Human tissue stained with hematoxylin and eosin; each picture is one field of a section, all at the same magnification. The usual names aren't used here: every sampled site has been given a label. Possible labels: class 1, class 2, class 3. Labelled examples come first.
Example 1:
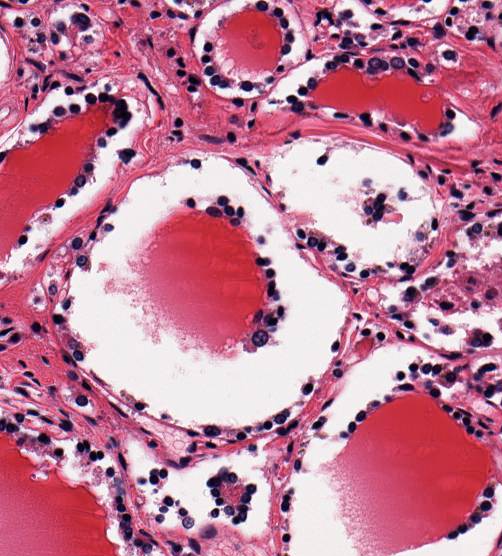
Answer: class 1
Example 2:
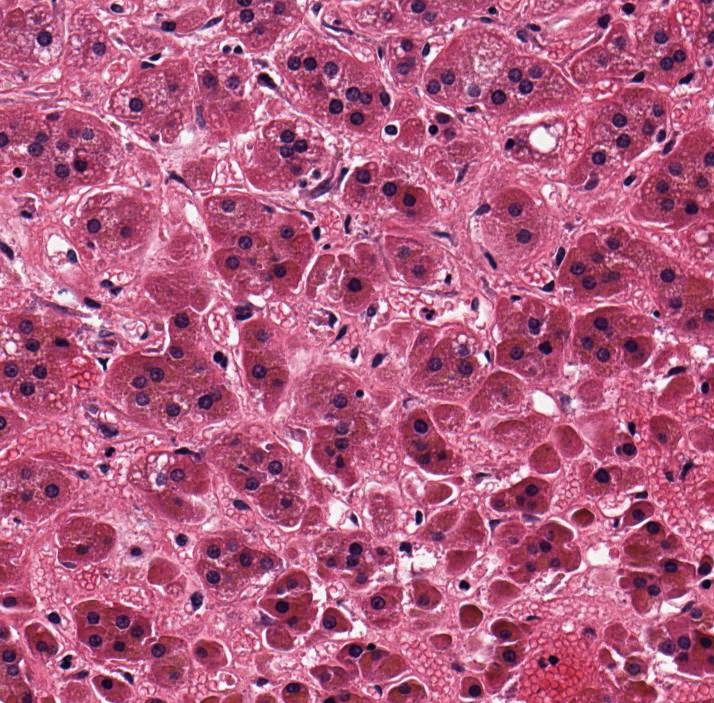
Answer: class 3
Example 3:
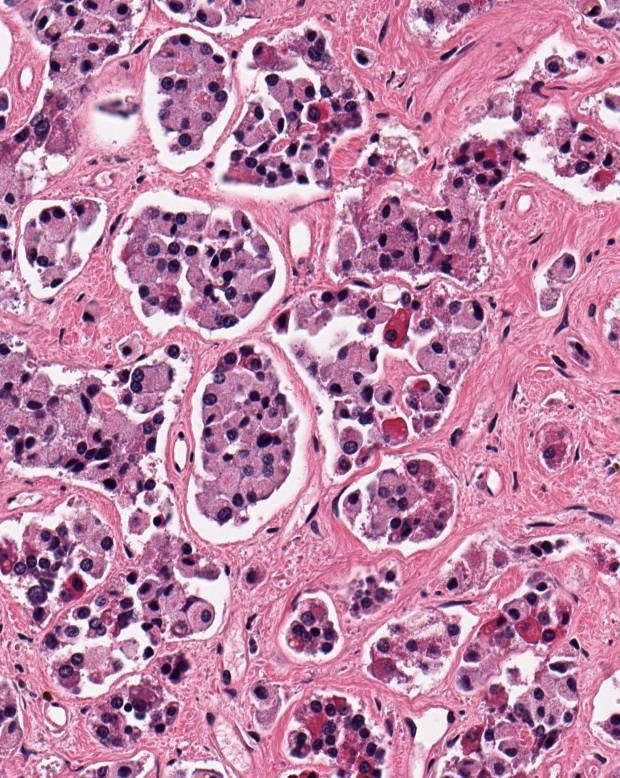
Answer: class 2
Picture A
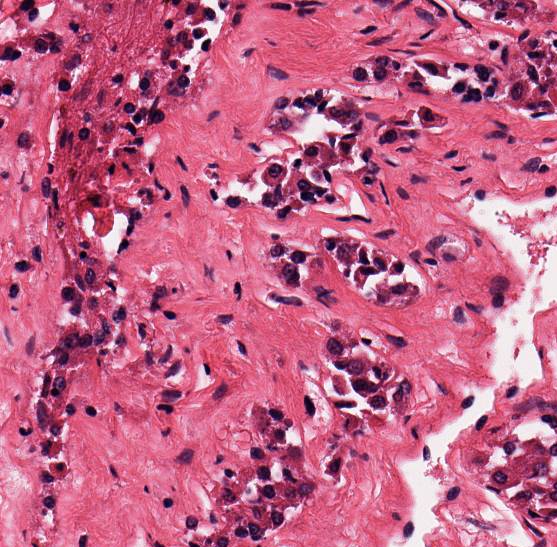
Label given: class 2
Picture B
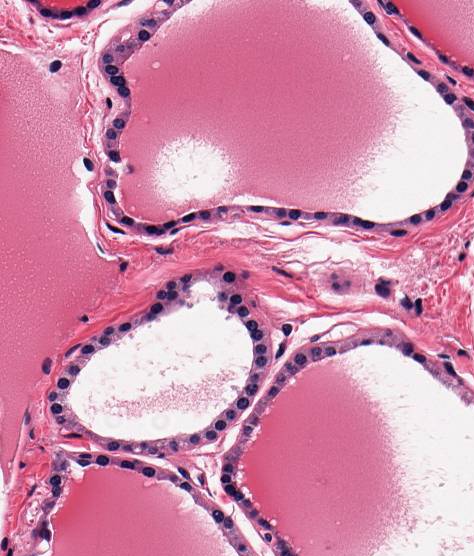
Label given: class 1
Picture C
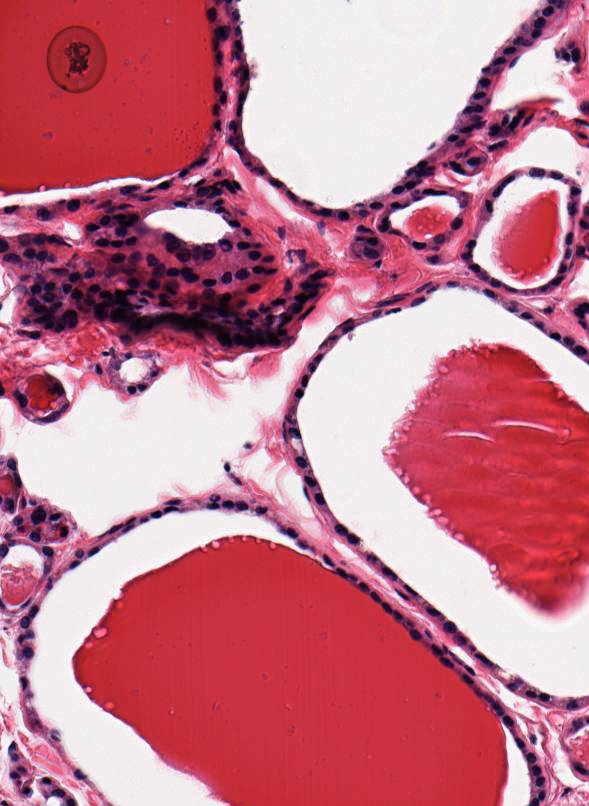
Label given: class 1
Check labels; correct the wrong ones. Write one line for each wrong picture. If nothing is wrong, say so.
None of the labels needs changing.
